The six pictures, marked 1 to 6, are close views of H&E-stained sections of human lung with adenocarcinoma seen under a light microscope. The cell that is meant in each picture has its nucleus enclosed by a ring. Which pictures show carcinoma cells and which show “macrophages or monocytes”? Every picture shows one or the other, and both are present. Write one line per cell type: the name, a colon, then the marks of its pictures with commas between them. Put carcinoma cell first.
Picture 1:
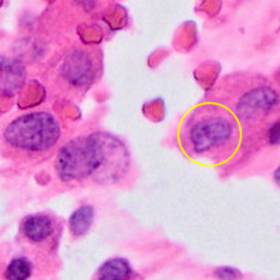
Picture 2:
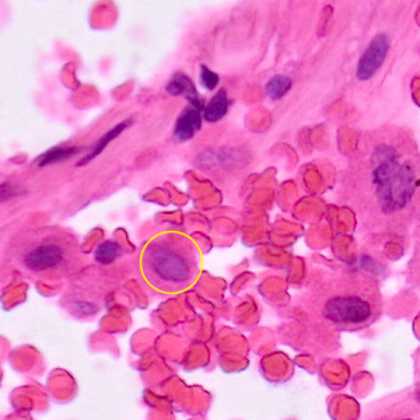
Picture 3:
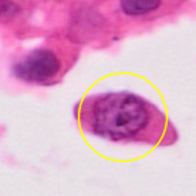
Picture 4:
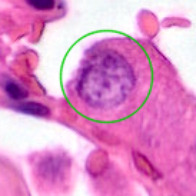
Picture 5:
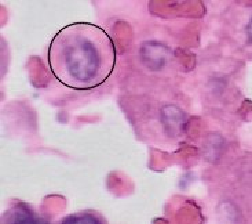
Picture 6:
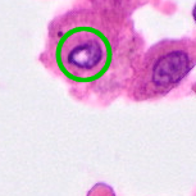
carcinoma cell: 3, 4
macrophage or monocyte: 1, 2, 5, 6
